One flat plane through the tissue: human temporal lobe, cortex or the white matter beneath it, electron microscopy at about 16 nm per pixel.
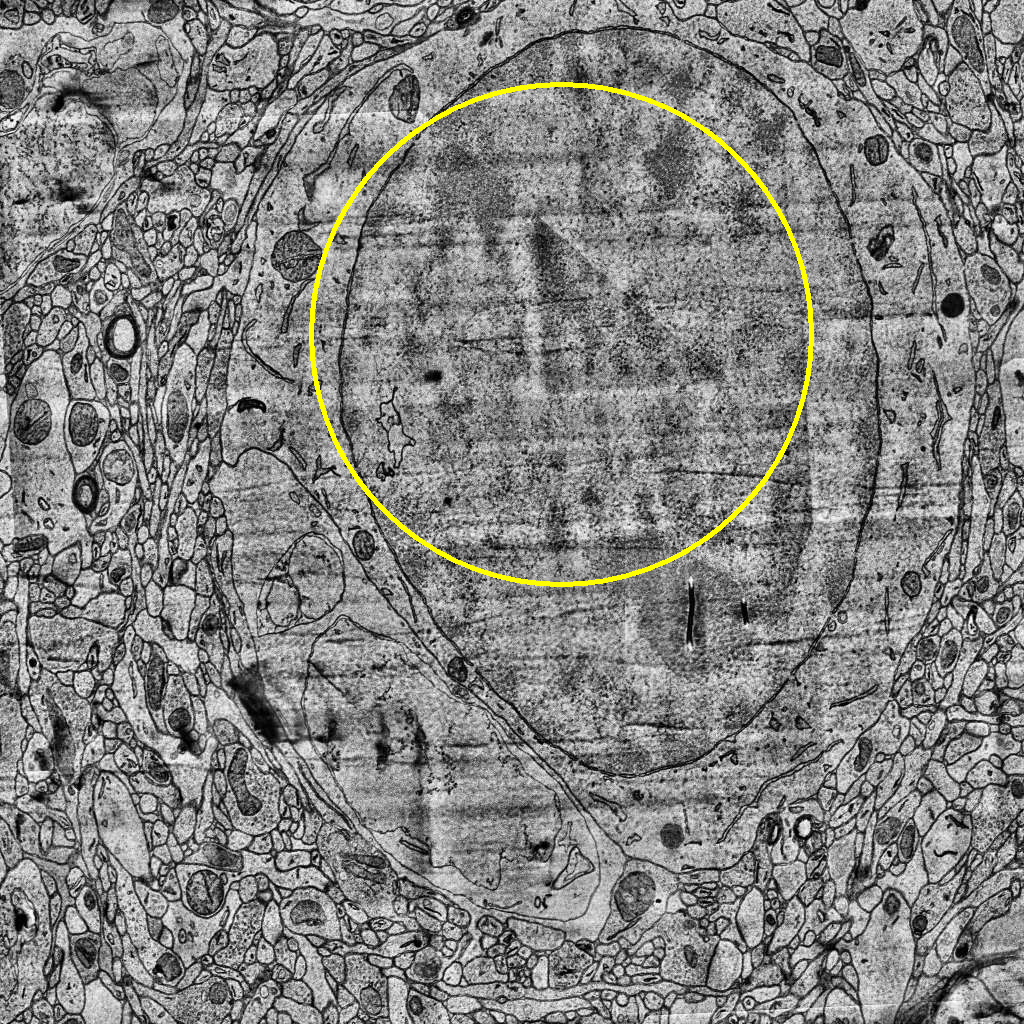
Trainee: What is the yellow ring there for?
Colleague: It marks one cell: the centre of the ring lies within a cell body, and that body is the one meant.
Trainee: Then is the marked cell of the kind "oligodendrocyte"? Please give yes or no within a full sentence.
No, the marked cell at the centre of the yellow ring is of a different kind.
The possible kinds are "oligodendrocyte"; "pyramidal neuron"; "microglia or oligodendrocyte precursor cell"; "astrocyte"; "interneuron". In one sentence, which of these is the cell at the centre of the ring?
The correct answer is that the cell is a pyramidal neuron.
